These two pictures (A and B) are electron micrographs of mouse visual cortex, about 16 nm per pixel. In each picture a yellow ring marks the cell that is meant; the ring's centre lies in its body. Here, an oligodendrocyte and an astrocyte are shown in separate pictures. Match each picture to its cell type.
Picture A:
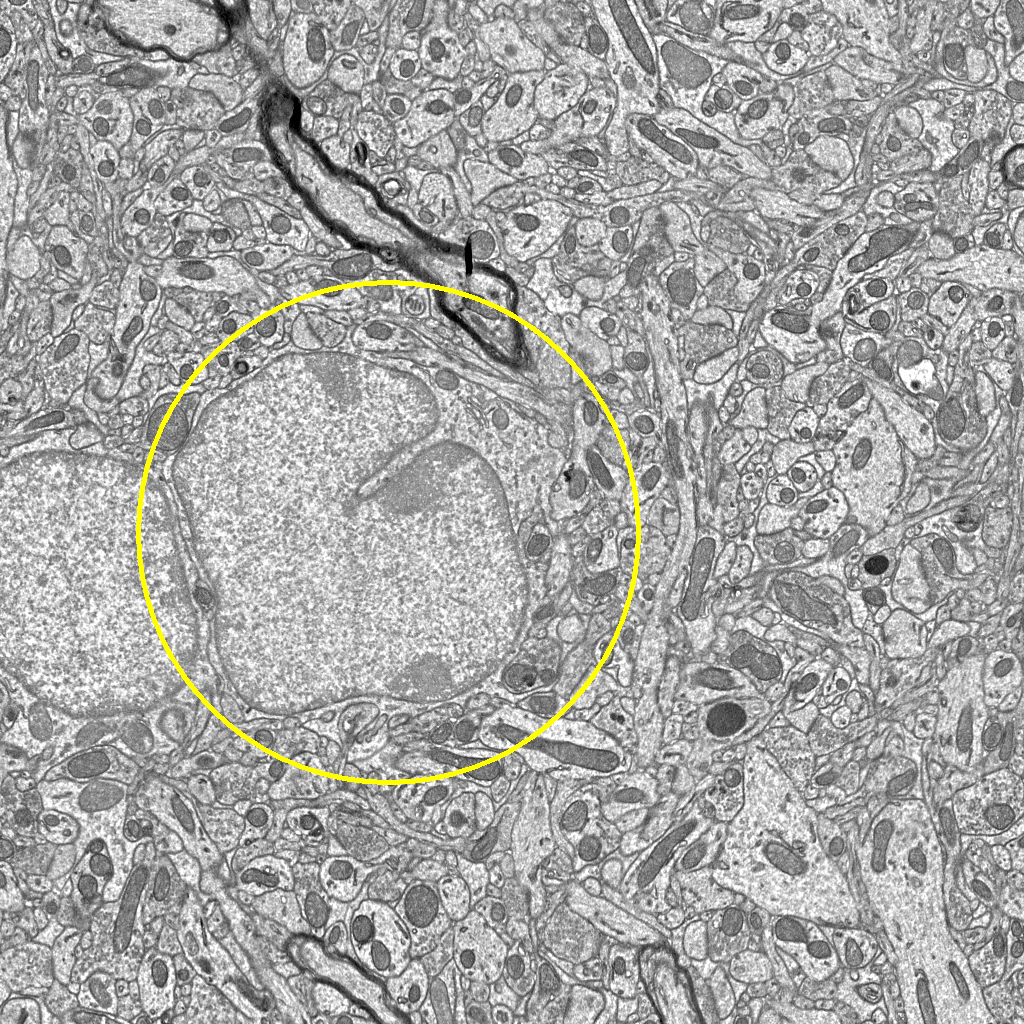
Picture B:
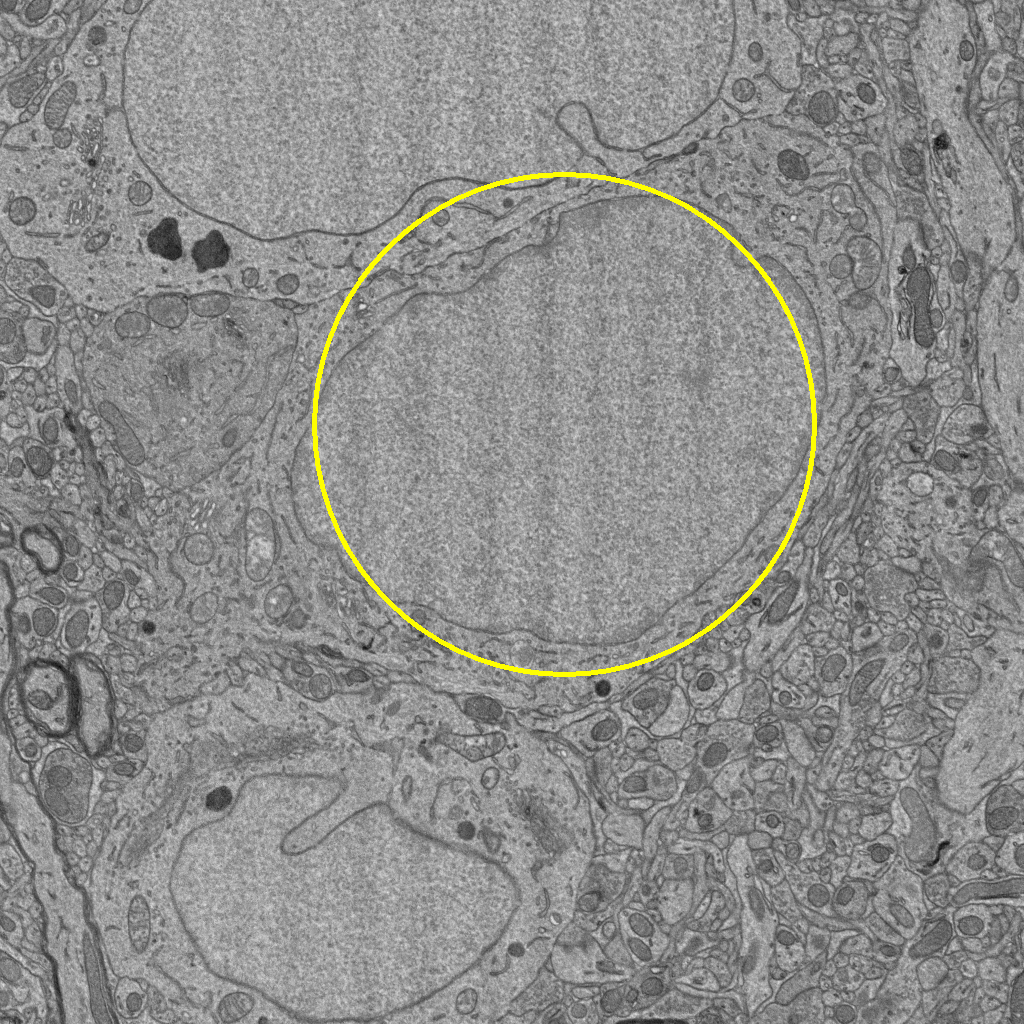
Picture B shows an oligodendrocyte, while picture A shows an astrocyte.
